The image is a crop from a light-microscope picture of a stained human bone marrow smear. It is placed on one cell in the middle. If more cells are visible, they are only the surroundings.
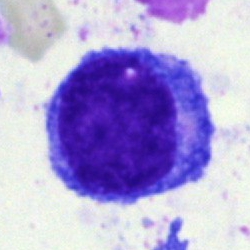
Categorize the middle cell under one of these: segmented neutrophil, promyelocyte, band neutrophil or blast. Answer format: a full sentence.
This crop is built around a blast at its centre.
